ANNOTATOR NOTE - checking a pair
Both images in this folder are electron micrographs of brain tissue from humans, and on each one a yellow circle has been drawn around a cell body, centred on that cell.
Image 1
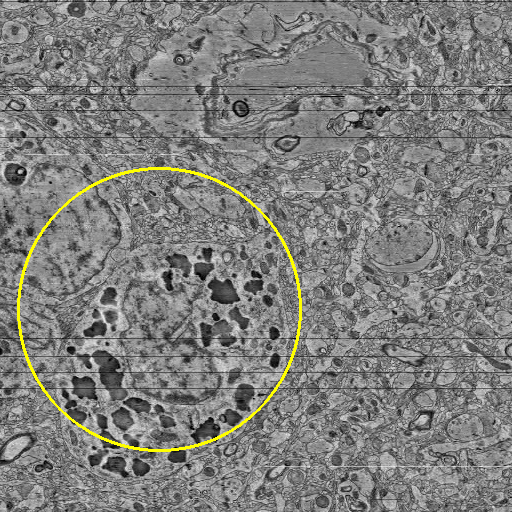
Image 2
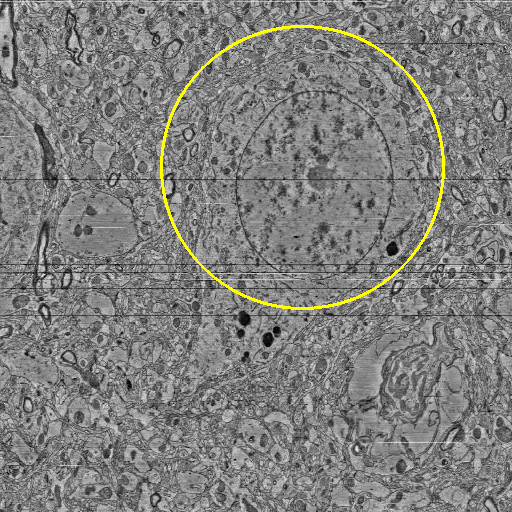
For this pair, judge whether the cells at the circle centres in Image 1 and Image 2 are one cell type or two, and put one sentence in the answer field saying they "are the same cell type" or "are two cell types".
For this pair, the cells at the circle centres in Images 1 and 2 are two cell types.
